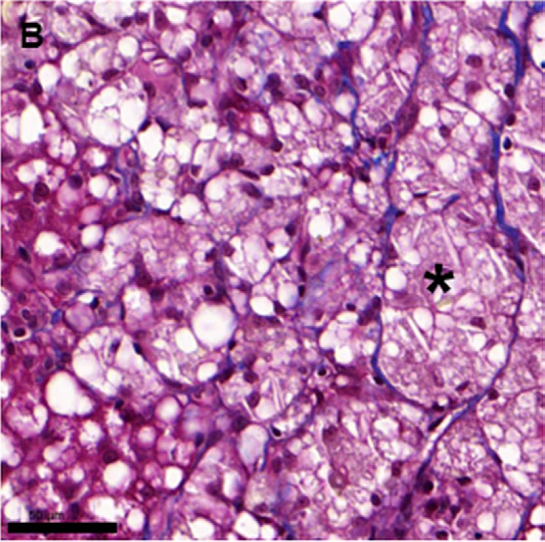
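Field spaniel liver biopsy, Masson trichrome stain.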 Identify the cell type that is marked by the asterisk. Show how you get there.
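Large cells with foamy, vacuolated cytoplasm. Some cells contain slender needle-like clefts.
Answer: fat‐ and cholesterol‐filled macrophages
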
